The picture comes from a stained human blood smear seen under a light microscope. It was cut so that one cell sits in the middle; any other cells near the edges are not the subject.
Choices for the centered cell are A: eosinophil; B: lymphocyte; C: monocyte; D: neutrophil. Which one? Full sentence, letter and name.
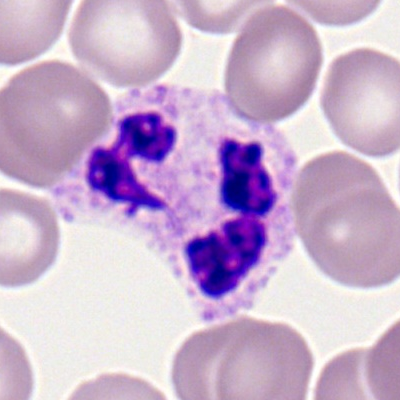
The cell centred in the crop is a neutrophil, and the correct option is thus D.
